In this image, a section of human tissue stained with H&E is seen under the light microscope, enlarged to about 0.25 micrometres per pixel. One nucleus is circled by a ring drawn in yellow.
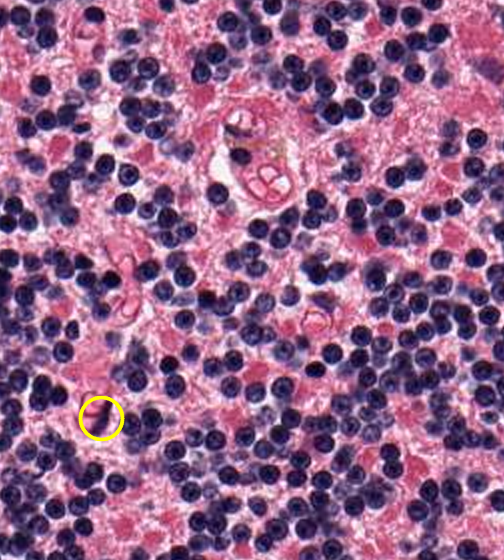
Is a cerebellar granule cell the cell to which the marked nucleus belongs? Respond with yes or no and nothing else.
no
